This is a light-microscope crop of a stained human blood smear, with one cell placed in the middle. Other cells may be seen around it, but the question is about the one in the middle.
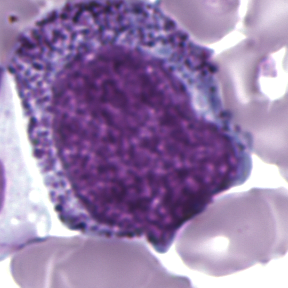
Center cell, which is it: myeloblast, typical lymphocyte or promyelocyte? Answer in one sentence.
Whatever else lies nearby, the middle cell is a promyelocyte.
